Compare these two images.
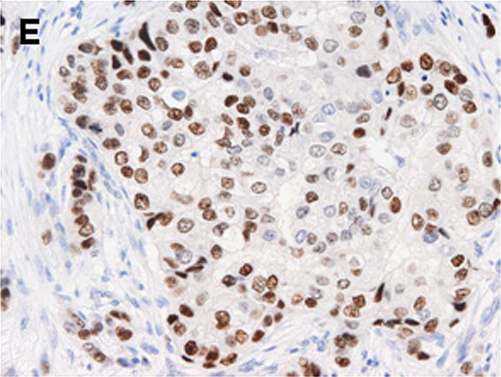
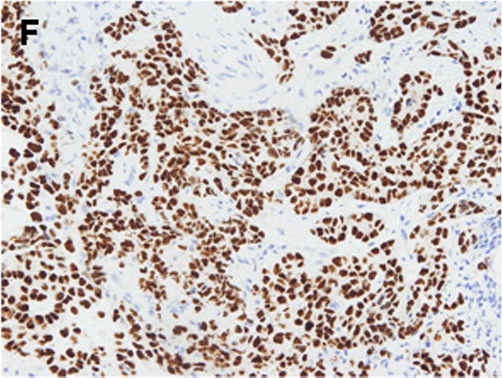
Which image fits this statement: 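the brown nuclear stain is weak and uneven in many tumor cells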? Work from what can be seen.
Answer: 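Second image: nearly all tumor nuclei are uniformly dark brown. First image: many tumor nuclei are pale brown or nearly unstained, with only some dark ones.
Answer: the first image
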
